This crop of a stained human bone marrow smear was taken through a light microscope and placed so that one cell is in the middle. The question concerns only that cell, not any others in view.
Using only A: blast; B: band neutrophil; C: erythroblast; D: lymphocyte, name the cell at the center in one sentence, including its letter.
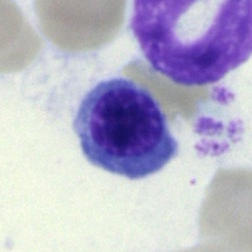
Option C holds up: the cell in the middle is an erythroblast.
